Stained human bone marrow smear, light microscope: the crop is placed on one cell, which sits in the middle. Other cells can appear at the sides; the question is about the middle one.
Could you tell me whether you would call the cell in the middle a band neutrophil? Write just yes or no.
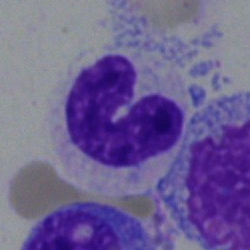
yes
